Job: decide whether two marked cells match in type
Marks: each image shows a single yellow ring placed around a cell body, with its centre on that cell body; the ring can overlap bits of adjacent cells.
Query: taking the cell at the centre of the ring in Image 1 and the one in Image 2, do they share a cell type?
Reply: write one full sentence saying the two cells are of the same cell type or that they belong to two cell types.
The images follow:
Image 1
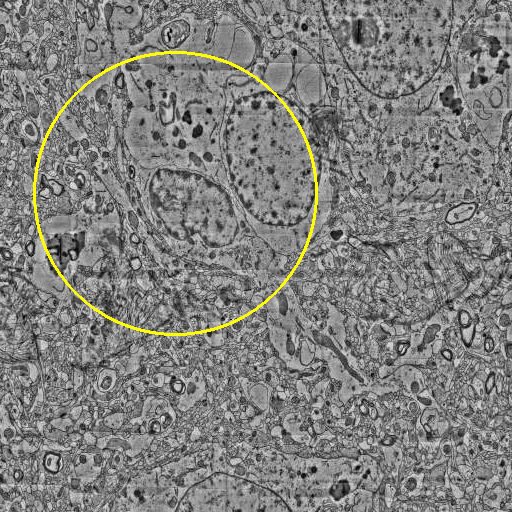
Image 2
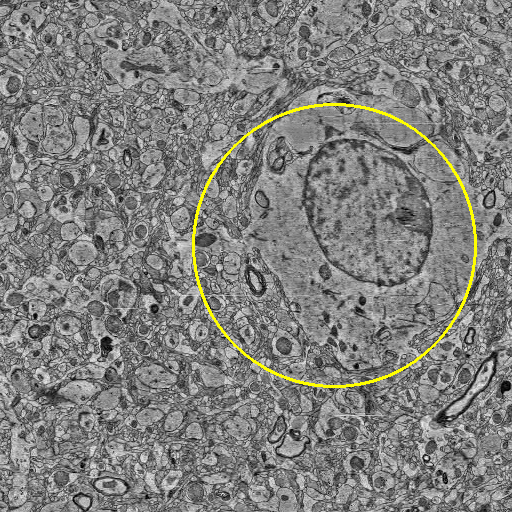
The cells at the ring centres in Image 1 and Image 2 belong to two cell types.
